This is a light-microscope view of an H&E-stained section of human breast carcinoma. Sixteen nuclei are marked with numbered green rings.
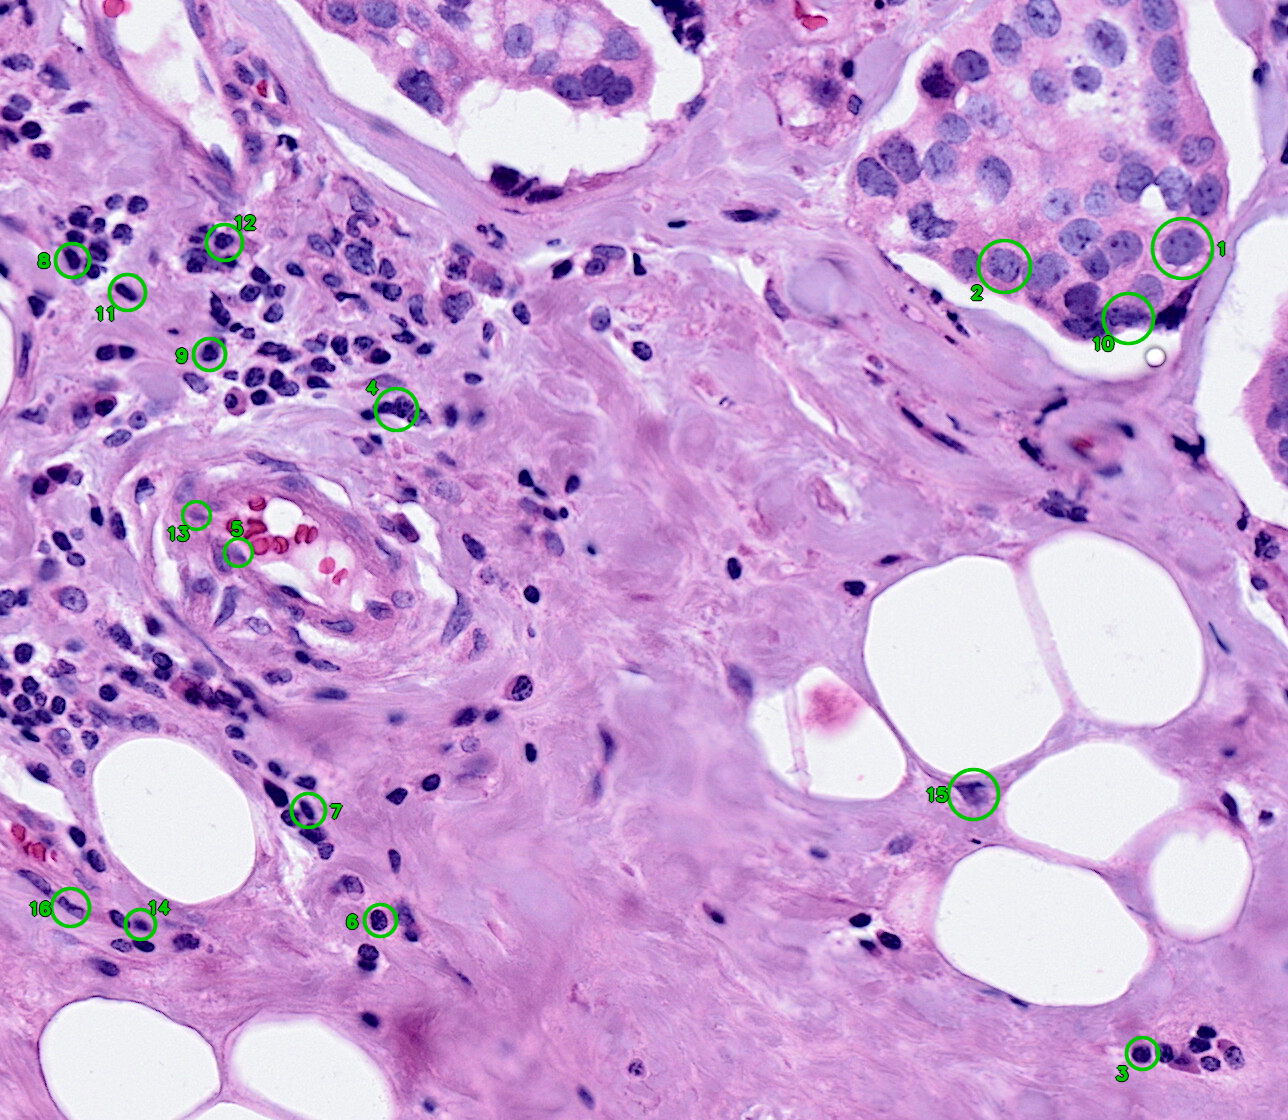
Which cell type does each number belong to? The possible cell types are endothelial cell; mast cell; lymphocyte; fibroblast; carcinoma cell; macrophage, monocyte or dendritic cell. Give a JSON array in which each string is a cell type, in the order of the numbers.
["carcinoma cell", "carcinoma cell", "lymphocyte", "lymphocyte", "endothelial cell", "lymphocyte", "lymphocyte", "lymphocyte", "lymphocyte", "carcinoma cell", "lymphocyte", "lymphocyte", "endothelial cell", "lymphocyte", "fibroblast", "fibroblast"]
